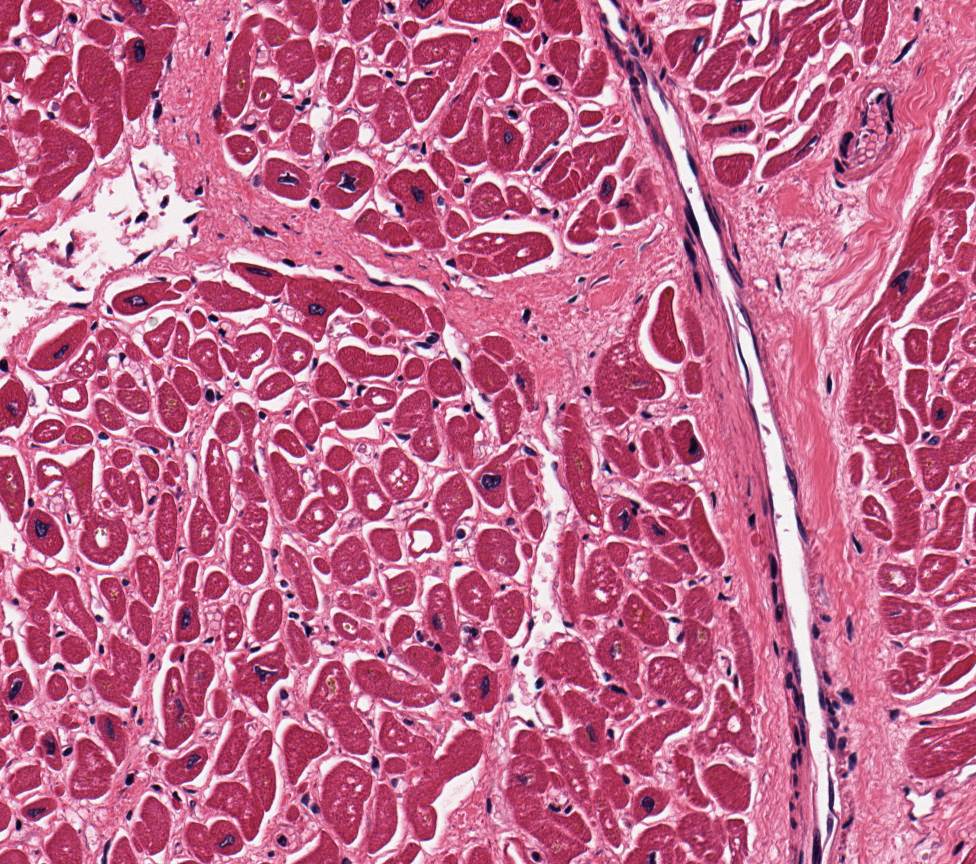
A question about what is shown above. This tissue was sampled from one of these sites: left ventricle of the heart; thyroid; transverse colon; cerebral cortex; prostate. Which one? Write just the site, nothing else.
left ventricle of the heart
